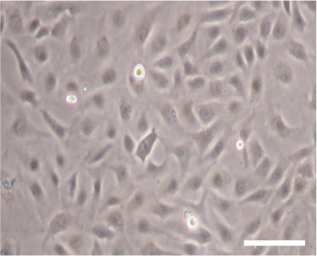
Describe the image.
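Cultured cells seen in phase contrast form a single loose layer of flat, widely spread cells. Most are polygonal to elongated, with thin, pale cytoplasm and faint borders. Each has a single oval nucleus lying near the middle of the cell. Neighbouring cells touch at their edges, and small gaps of empty substrate lie between them. Only a few cells are rounded and bright, with refractile halos.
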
